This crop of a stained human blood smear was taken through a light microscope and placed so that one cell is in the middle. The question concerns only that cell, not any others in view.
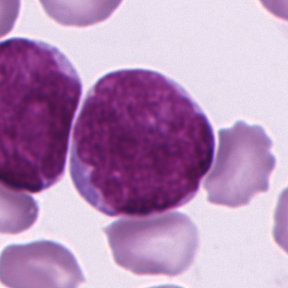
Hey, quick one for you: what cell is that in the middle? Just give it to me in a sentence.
The cell marked by its central position in the crop is a myeloblast.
